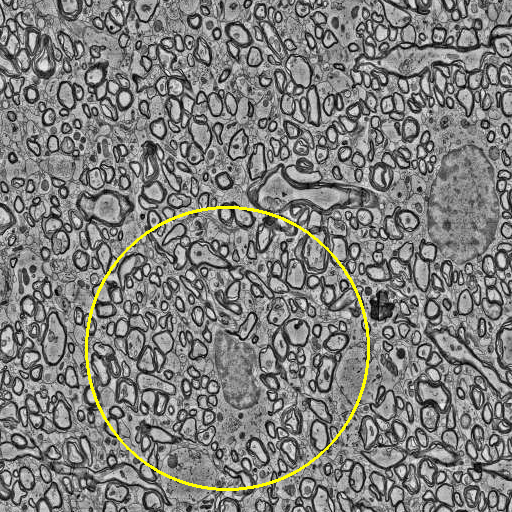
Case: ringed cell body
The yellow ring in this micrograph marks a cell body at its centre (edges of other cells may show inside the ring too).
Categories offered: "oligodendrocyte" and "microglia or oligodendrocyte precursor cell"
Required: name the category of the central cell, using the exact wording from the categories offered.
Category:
oligodendrocyte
